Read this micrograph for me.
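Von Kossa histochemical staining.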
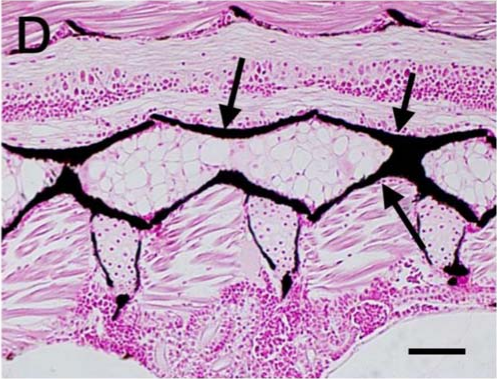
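The notochord, with its clear vacuolated cells, is enclosed by thick black deposits forming a segmented, scalloped outline. Pink-stained skeletal muscle fibres surround the mineralised axis.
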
